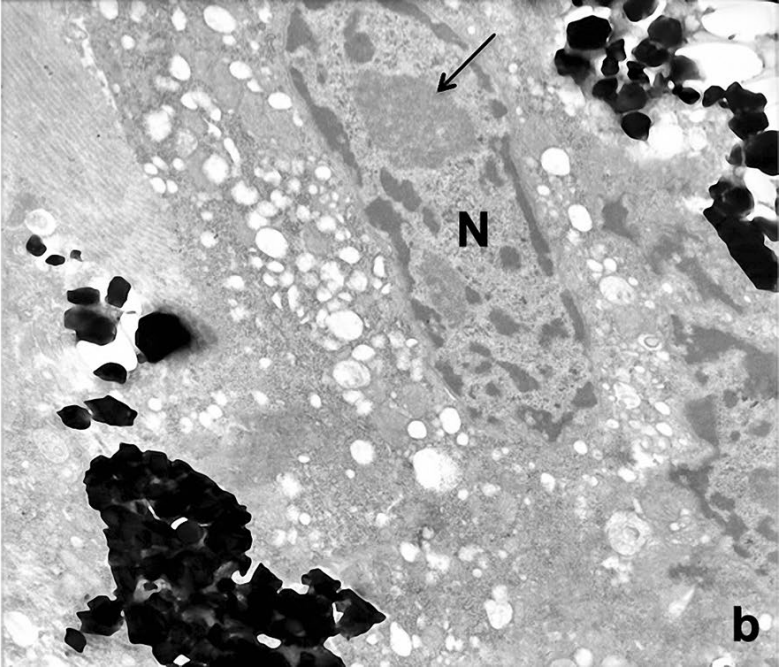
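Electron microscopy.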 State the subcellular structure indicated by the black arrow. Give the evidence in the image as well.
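Nucleolus. The arrow points to a rounded, slightly denser granular area inside the large nucleus. The area lies within a pale, finely granular nuclear region.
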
